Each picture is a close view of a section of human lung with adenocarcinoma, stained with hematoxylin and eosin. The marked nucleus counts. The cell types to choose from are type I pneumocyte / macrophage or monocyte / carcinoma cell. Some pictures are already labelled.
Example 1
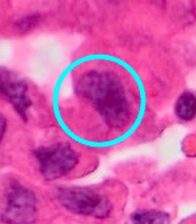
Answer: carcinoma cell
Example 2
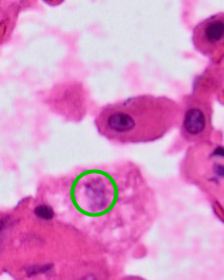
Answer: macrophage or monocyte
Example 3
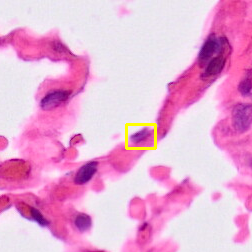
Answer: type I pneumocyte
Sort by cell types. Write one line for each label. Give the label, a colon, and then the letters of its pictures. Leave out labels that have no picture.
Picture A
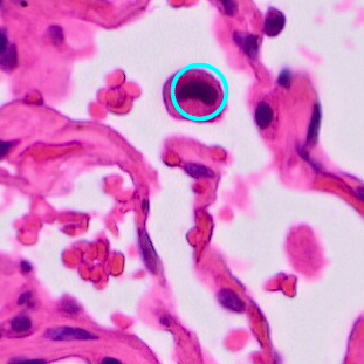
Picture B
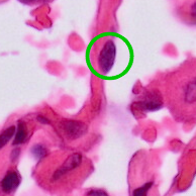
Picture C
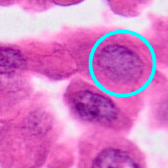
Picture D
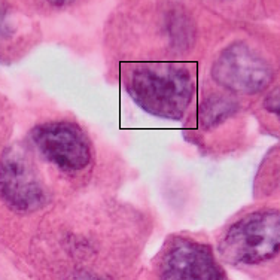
type I pneumocyte: B
macrophage or monocyte: A
carcinoma cell: C, D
